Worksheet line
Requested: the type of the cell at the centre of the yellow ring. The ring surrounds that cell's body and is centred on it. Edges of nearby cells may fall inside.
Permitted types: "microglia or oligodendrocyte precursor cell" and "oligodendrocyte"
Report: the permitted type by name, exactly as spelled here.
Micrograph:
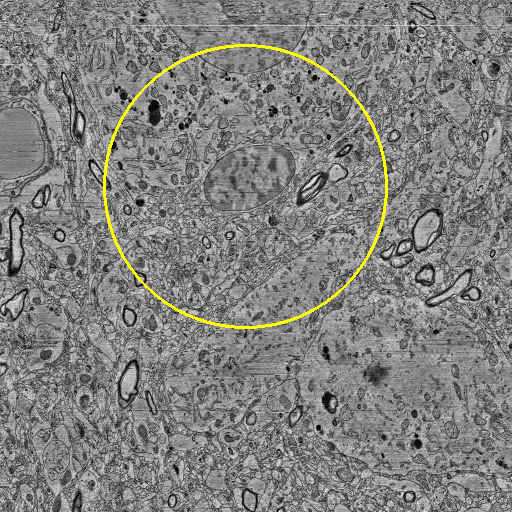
microglia or oligodendrocyte precursor cell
